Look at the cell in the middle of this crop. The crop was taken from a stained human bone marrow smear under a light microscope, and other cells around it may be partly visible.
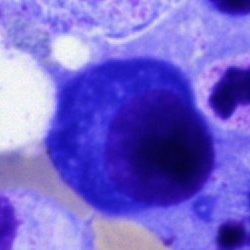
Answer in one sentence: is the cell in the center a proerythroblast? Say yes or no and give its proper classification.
No, that would be a plasma cell, not a proerythroblast, for the cell at the centre.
